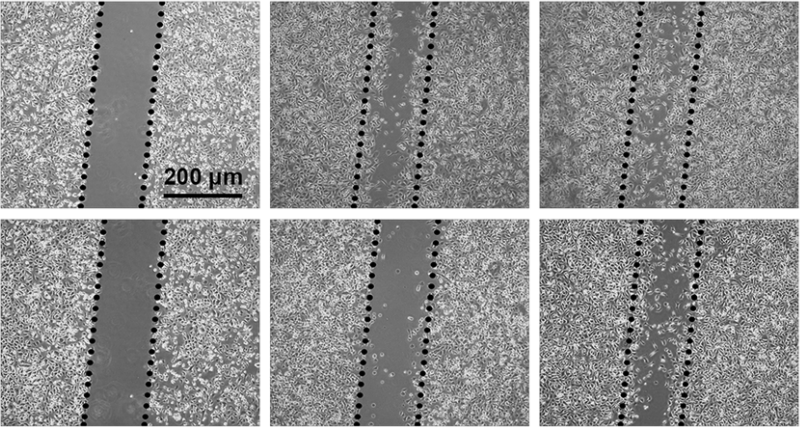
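A dense, confluent layer of small, phase-bright cells is cut by a straight, cell-free band marked on each side by a dotted line. In the later images single cells have crept into the band, so it looks narrower and less empty, as in a scratch wound that is closing.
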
